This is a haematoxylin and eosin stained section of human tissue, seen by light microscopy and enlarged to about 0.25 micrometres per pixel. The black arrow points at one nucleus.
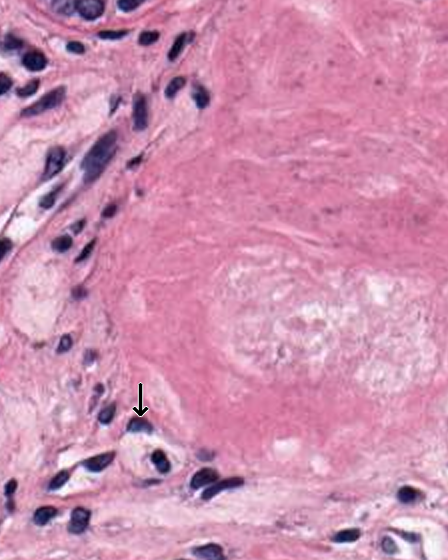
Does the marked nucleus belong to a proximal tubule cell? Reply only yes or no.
no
